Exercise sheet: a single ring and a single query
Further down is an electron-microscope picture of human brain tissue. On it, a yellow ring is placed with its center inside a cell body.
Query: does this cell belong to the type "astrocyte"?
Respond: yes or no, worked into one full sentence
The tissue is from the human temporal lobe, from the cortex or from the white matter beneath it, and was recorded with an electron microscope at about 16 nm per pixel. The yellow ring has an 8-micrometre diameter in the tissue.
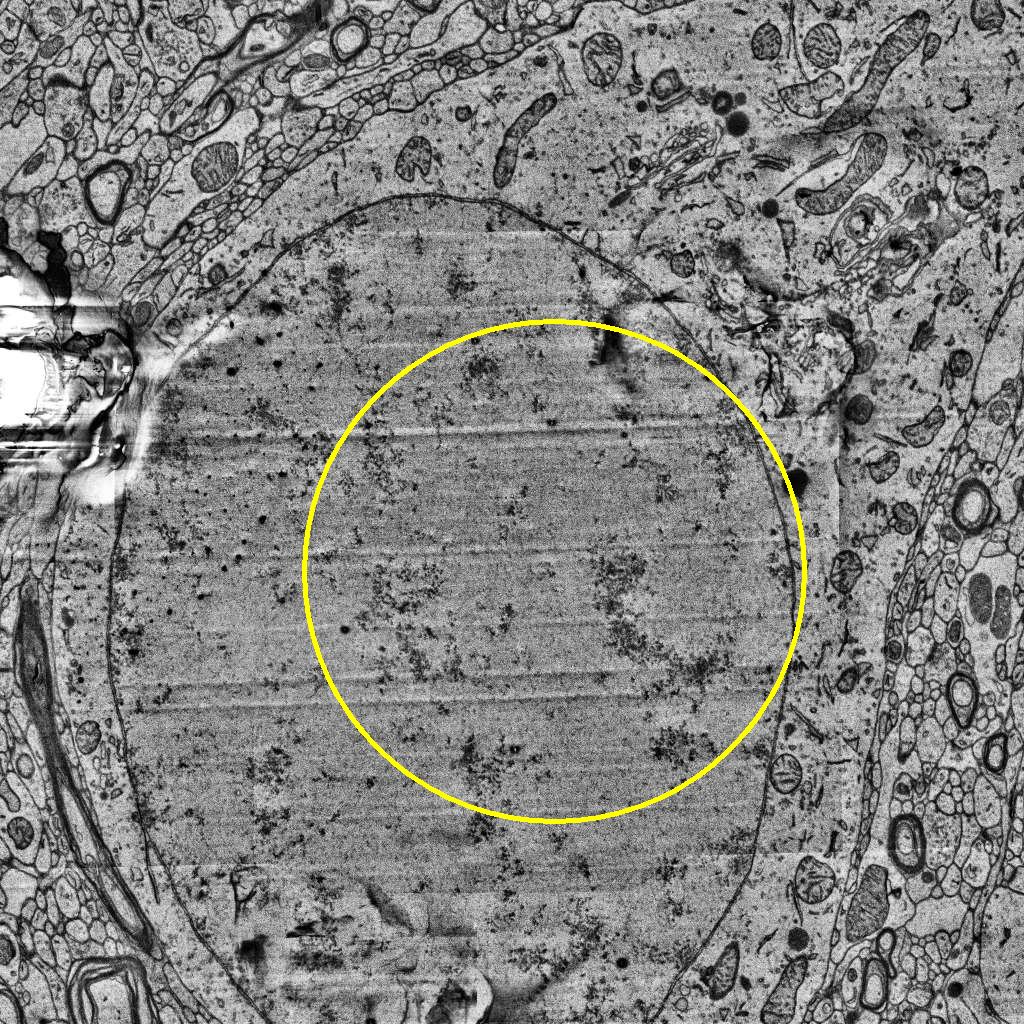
No, this cell, found at the center of the ring in the picture, is of a different type.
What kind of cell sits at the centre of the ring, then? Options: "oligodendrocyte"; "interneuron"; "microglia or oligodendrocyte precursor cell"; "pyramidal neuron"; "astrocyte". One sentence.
The cell at the middle of the ring is a pyramidal neuron.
